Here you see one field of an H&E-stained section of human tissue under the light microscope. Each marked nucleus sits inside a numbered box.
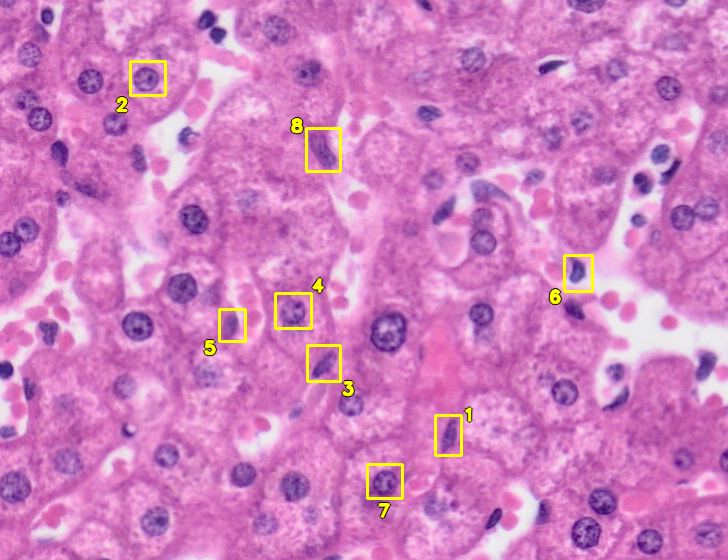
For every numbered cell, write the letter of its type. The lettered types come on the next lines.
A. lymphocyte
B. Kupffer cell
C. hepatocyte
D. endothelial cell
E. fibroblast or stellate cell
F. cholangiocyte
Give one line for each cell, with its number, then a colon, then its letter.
1: E
2: C
3: E
4: C
5: B
6: A
7: C
8: B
